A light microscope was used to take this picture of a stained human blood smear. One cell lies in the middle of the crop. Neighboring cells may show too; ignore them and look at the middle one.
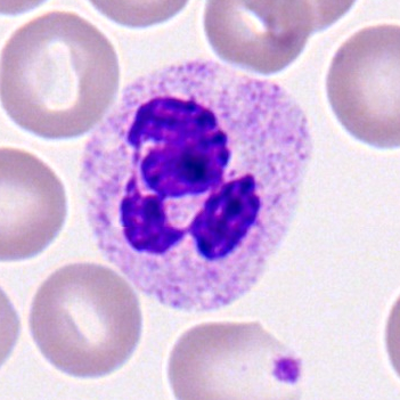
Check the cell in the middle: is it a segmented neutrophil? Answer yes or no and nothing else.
yes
